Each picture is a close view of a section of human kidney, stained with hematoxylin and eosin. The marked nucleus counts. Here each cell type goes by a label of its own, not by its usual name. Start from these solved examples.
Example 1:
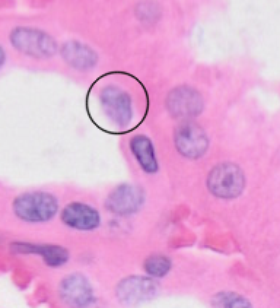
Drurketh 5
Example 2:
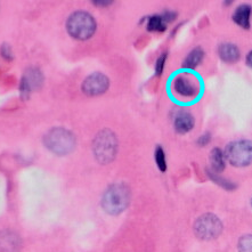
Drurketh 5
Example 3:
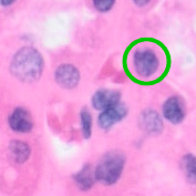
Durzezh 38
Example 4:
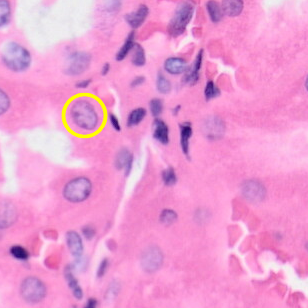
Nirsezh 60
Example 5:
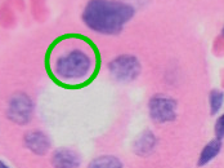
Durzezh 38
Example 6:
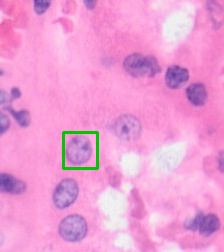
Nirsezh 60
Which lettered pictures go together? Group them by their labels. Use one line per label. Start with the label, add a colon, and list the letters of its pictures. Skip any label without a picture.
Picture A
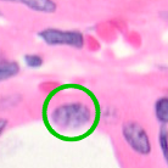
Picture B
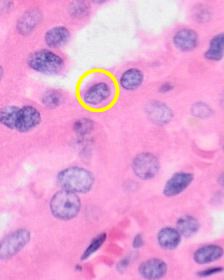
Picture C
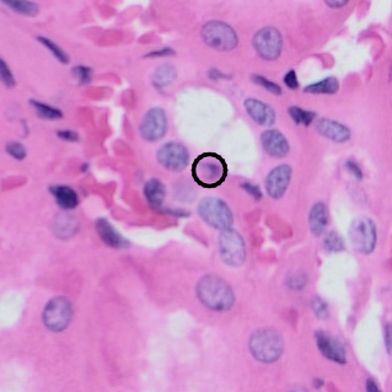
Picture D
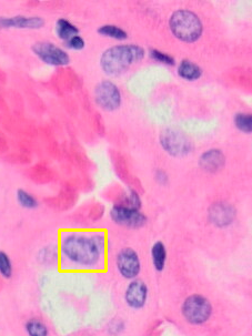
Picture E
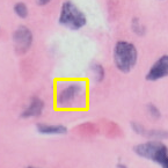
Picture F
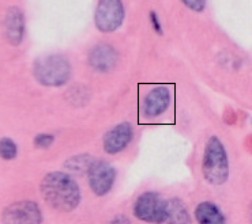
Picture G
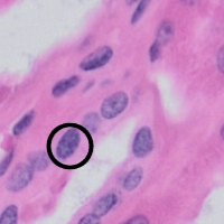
Drurketh 5: A, C, D, F, G
Durzezh 38: B, E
